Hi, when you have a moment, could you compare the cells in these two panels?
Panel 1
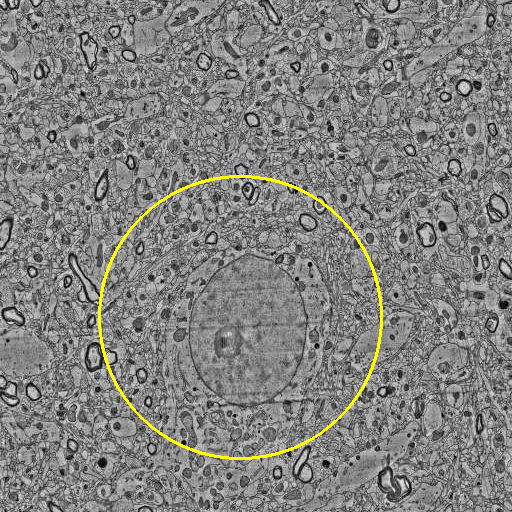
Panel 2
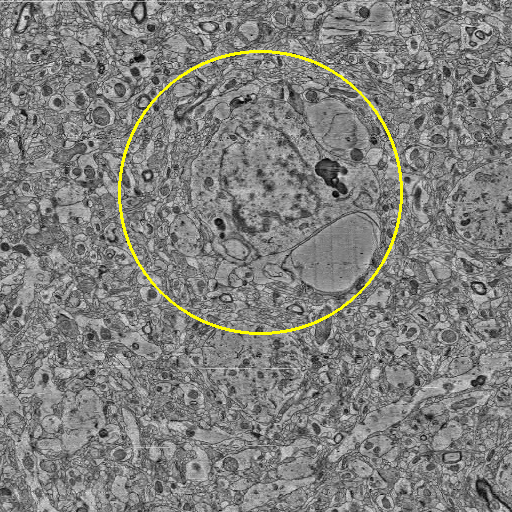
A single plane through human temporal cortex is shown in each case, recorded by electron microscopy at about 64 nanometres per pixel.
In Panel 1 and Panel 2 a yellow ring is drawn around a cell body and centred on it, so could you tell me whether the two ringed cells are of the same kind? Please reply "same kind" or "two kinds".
same kind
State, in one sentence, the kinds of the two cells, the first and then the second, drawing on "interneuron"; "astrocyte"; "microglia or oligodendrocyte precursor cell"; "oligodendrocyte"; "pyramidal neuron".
Each one of the two ringed cells is an interneuron.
